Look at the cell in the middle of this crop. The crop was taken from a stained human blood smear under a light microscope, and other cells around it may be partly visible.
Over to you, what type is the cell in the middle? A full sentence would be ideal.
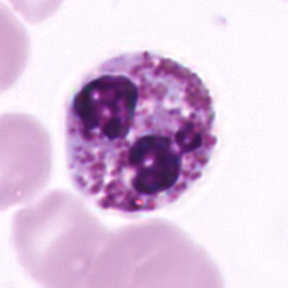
Classification of the middle cell gives an eosinophil.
